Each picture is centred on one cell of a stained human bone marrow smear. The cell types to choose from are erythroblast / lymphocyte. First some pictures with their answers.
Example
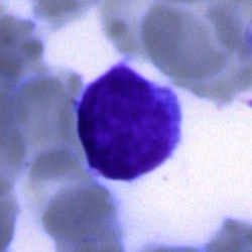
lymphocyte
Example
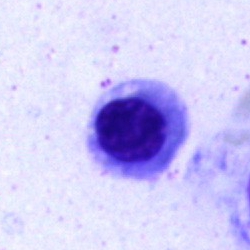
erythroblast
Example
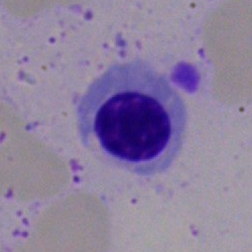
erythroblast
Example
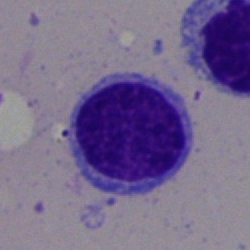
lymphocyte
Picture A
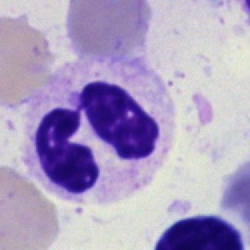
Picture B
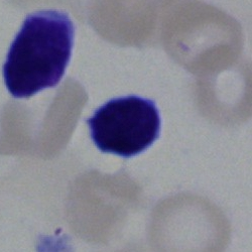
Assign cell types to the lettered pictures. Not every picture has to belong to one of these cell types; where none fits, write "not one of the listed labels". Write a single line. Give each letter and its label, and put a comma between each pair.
A not one of the listed labels, B lymphocyte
